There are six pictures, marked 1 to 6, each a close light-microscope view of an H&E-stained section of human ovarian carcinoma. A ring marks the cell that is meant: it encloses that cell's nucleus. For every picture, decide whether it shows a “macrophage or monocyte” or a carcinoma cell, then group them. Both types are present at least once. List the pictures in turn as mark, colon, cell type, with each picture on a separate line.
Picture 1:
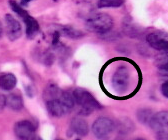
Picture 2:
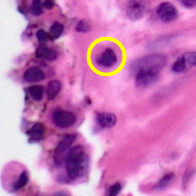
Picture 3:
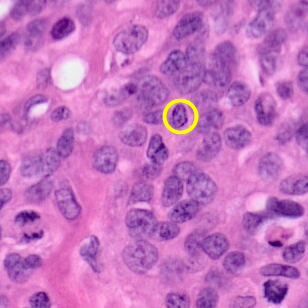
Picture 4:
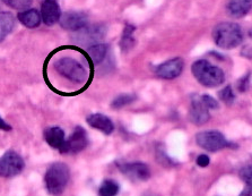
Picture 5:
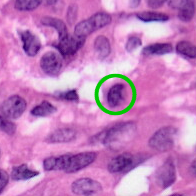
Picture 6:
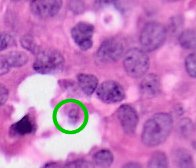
1: macrophage or monocyte
2: macrophage or monocyte
3: macrophage or monocyte
4: carcinoma cell
5: macrophage or monocyte
6: carcinoma cell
